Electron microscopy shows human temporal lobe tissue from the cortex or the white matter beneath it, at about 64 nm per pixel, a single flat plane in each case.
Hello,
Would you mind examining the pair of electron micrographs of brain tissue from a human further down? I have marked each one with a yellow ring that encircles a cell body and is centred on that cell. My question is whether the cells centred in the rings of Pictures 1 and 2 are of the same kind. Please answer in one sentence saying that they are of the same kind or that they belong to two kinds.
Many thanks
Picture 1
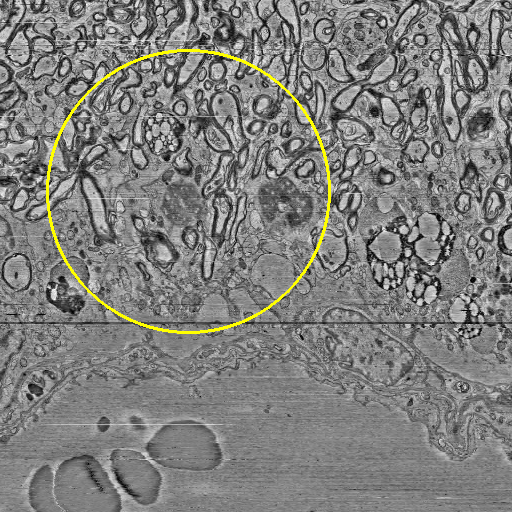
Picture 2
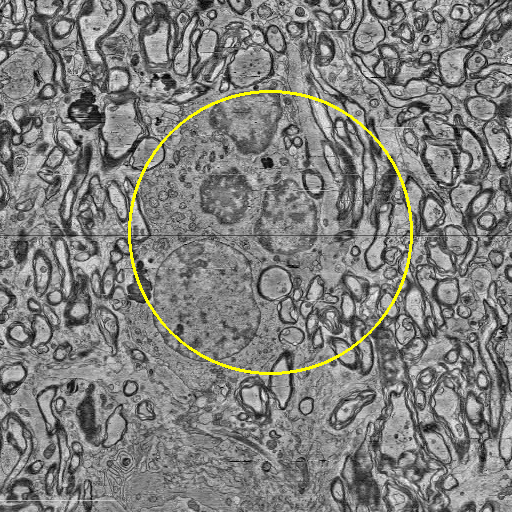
In Pictures 1 and 2, the cells at the heart of the rings are of the same kind.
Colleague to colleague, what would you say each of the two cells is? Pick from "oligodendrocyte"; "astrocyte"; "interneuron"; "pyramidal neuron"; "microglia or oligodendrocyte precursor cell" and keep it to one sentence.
Both the first and the second picture show an oligodendrocyte in the ring.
